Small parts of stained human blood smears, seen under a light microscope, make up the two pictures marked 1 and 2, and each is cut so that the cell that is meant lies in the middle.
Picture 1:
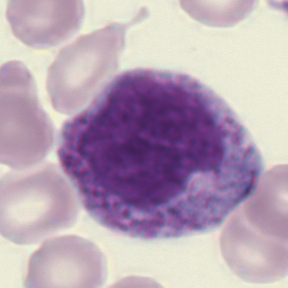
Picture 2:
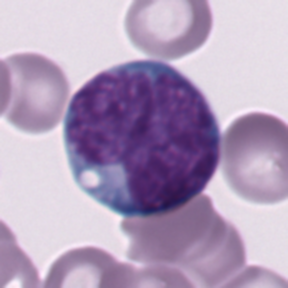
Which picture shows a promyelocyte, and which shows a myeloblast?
1: promyelocyte
2: myeloblast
